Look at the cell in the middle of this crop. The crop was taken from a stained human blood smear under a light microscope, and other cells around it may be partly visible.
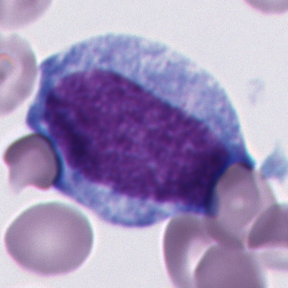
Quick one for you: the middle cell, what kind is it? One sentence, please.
What the crop centres on is a promyelocyte.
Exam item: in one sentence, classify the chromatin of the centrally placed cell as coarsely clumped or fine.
The chromatin is delicate and fine, lacking coarse clumping entirely.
